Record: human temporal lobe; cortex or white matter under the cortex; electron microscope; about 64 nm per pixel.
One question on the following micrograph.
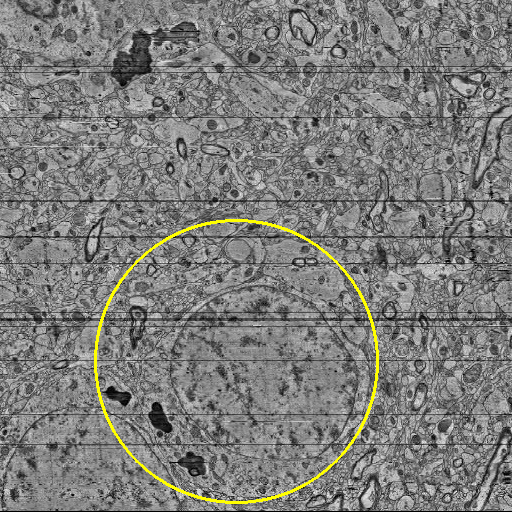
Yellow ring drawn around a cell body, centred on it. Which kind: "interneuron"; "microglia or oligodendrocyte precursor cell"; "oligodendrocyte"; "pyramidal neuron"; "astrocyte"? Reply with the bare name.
pyramidal neuron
